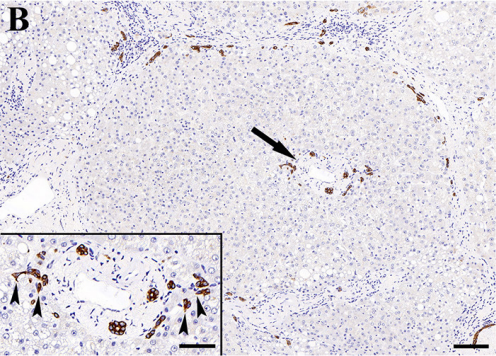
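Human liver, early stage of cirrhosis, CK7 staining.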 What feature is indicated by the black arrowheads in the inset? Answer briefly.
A: Canals of Hering.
